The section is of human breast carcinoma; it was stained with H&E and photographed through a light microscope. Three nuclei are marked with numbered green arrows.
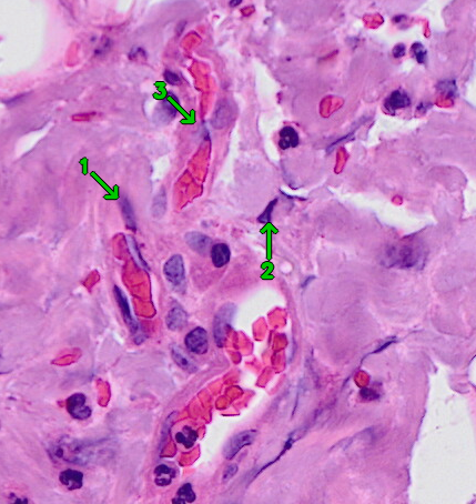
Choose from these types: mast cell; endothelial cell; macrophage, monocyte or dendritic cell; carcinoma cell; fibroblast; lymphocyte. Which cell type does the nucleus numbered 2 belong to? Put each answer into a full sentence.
The cell that carries the label 2 is a fibroblast.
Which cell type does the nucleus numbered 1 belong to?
The one numbered 1 among the marked cells is an endothelial cell.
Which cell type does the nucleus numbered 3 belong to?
At number 3, the marked cell is an endothelial cell.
